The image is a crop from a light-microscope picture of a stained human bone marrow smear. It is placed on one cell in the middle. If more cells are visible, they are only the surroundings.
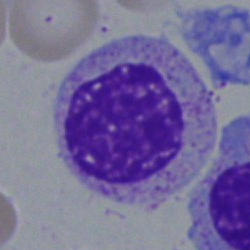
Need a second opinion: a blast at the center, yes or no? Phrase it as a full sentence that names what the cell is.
No, the identification should read a myelocyte, not a blast, for the central cell.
